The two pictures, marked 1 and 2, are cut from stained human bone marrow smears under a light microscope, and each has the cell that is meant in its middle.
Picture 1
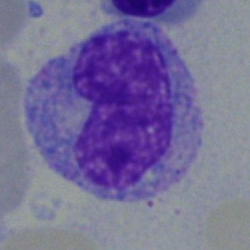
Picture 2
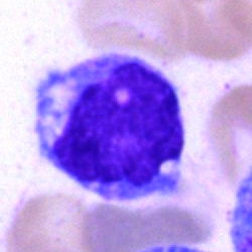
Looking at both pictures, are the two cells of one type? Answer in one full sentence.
Yes, the two pictures both show monocytes.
